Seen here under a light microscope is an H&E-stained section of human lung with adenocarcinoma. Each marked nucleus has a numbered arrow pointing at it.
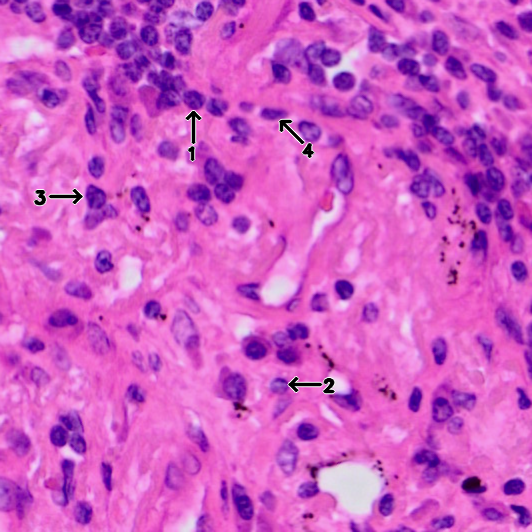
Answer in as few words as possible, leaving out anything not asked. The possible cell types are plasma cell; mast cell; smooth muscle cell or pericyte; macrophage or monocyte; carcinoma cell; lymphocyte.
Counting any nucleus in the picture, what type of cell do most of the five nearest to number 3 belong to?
lymphocyte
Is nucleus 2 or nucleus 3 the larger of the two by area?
3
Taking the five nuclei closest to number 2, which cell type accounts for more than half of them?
plasma cell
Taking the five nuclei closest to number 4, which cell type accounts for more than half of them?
lymphocyte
